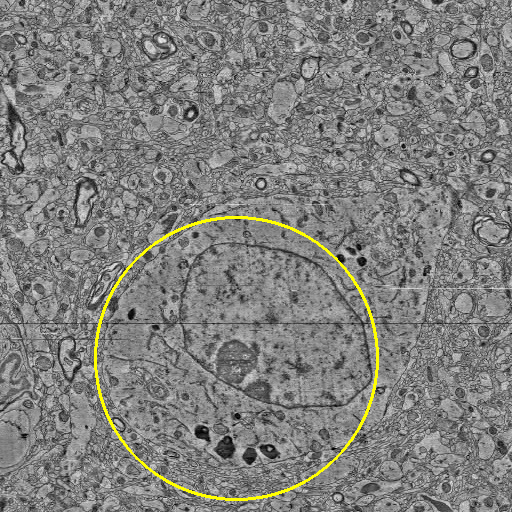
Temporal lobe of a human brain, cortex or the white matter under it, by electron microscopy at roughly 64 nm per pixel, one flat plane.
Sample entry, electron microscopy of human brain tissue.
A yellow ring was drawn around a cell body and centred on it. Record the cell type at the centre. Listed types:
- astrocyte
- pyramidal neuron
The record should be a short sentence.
The cell at the ring's centre is a pyramidal neuron.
